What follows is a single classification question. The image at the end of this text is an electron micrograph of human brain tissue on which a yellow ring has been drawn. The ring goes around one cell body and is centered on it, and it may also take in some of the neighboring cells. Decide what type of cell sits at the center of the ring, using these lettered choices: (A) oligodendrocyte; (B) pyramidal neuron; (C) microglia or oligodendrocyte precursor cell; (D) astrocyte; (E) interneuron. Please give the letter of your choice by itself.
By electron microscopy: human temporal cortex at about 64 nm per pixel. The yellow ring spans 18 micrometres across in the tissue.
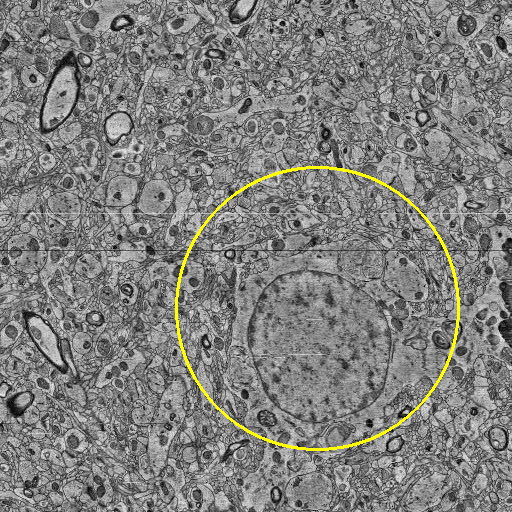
D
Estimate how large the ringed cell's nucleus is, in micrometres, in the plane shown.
The nucleus of the ringed cell is approximately 10 micrometres across in this plane.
